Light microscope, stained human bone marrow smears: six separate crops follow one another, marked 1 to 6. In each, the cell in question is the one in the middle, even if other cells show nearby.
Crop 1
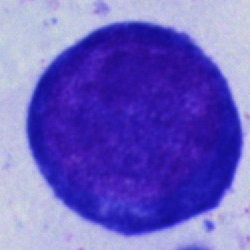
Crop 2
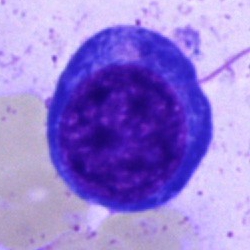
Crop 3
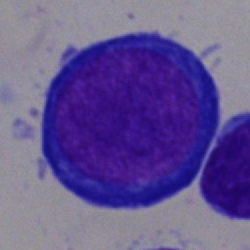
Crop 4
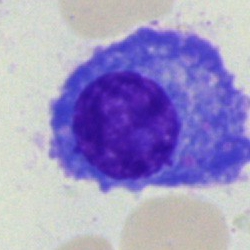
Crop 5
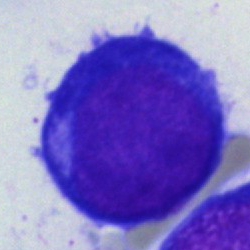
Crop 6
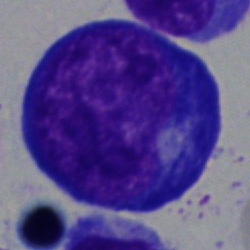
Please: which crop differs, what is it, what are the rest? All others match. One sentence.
Crop 4 is the odd one out, being a plasma cell, while all the other crops show proerythroblasts.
